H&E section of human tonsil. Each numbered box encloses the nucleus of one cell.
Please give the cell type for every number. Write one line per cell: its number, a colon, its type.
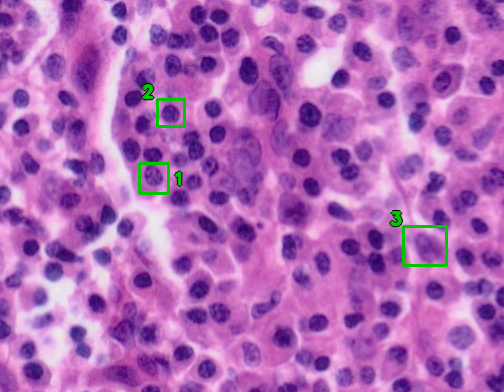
1: plasma cell
2: plasma cell
3: squamous epithelial cell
